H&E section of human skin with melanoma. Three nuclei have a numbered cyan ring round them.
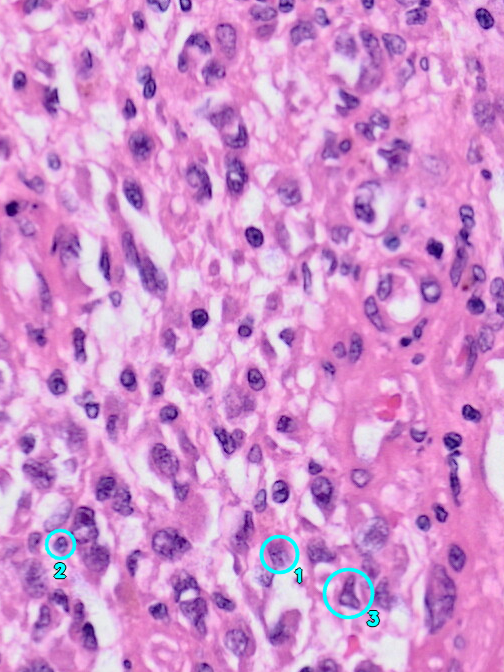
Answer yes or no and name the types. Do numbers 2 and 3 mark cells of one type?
No, hold on, cell 2 is a lymphocyte and cell 3 is a melanoma cell.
